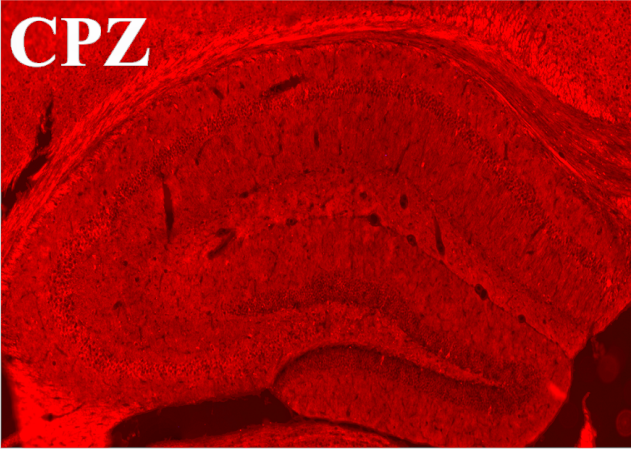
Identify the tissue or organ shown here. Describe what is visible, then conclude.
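Hippocampus. A curved arc of layered tissue spans the section. A smaller curved layer lies nested inside the arc at the lower middle. A band of fibres runs along the top edge.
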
